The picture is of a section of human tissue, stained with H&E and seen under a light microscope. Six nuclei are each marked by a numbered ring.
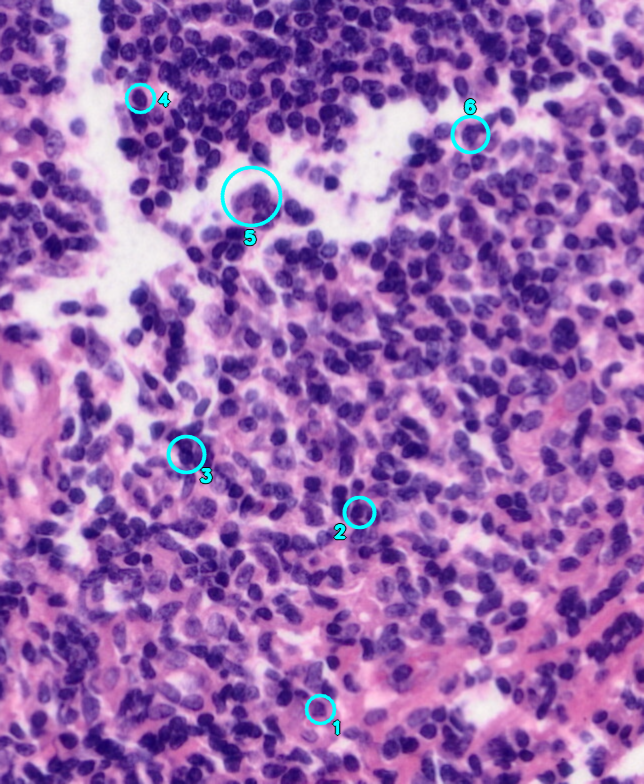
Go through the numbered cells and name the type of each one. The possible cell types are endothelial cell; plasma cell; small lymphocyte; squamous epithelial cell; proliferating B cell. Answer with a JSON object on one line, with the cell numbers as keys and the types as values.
{"1": "endothelial cell", "2": "small lymphocyte", "3": "small lymphocyte", "4": "small lymphocyte", "5": "proliferating B cell", "6": "small lymphocyte"}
